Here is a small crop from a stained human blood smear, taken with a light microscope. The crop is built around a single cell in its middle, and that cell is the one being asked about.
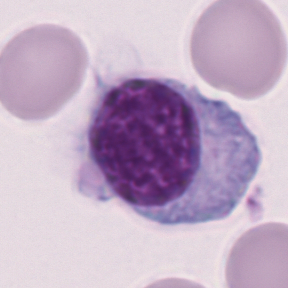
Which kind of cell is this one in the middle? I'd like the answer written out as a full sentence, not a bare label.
The crop shows a plasma cell in its centre.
